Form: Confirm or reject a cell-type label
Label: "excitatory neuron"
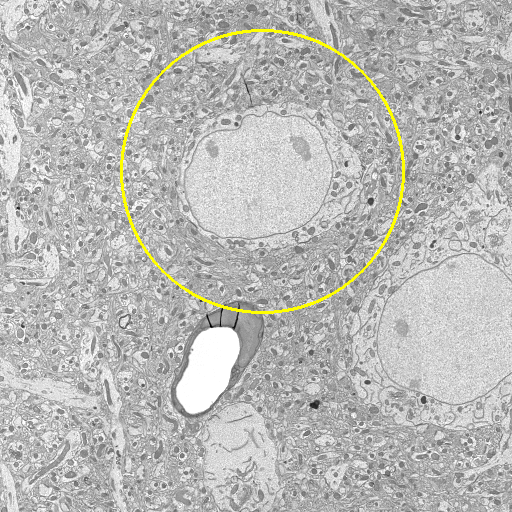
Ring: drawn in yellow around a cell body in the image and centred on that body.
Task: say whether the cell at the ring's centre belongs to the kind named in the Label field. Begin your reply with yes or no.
Yes, it belongs to that kind.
